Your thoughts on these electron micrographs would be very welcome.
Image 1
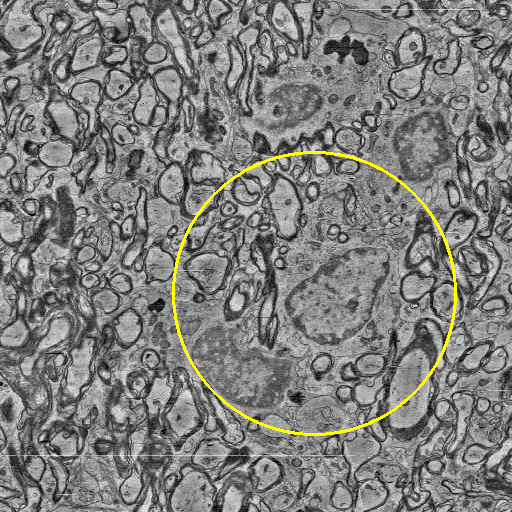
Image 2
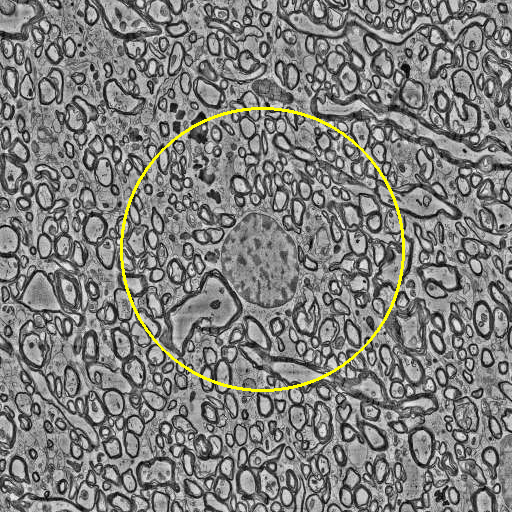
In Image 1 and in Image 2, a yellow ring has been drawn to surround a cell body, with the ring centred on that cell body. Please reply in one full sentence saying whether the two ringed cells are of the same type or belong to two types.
The ringed cells in Image 1 and Image 2 are of the same type.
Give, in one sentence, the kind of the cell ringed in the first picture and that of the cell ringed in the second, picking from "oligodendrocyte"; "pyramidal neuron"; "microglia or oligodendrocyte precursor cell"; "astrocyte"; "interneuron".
Each cell, in the first picture and the second, is a microglial cell or oligodendrocyte precursor cell.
